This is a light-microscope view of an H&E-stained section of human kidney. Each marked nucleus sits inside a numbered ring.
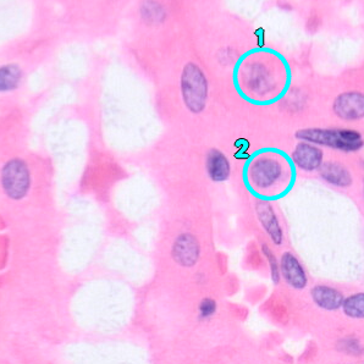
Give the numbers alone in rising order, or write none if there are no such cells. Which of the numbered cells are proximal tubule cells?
1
